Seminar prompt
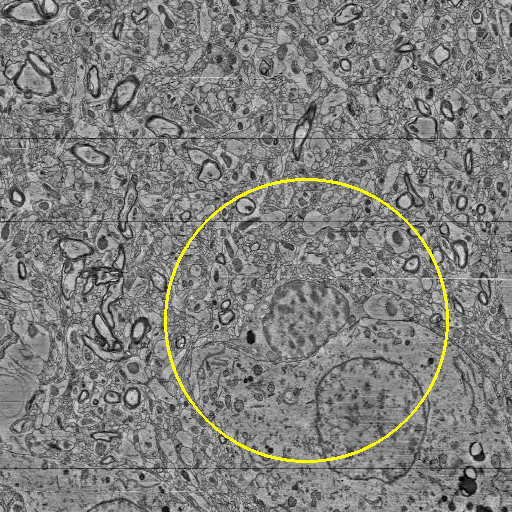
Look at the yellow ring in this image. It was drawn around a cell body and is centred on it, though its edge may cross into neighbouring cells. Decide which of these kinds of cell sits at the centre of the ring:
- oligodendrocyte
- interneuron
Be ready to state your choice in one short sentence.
The kind of cell at the ring's centre is an oligodendrocyte.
